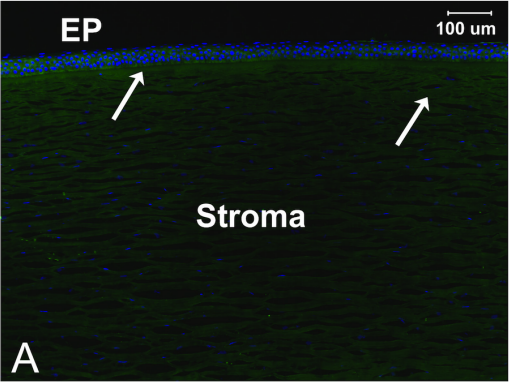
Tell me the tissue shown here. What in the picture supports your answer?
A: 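A stratified cellular layer with many nuclei lies along the top surface. Below it a thick, nearly acellular stroma of regular parallel lamellae with sparse flat nuclei.
Cornea.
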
